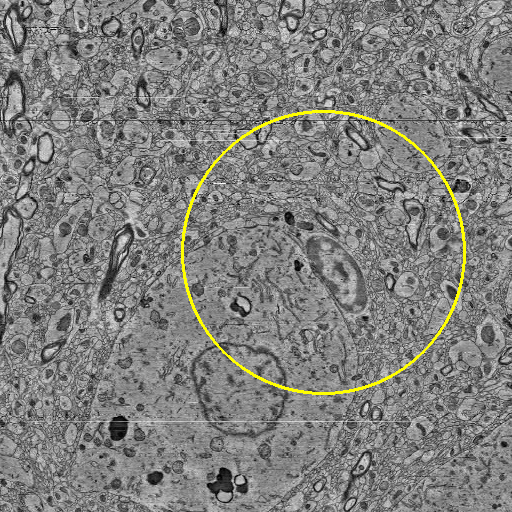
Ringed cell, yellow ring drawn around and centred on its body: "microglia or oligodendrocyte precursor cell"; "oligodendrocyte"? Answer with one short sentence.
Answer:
This ringed cell is a microglial cell or oligodendrocyte precursor cell.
